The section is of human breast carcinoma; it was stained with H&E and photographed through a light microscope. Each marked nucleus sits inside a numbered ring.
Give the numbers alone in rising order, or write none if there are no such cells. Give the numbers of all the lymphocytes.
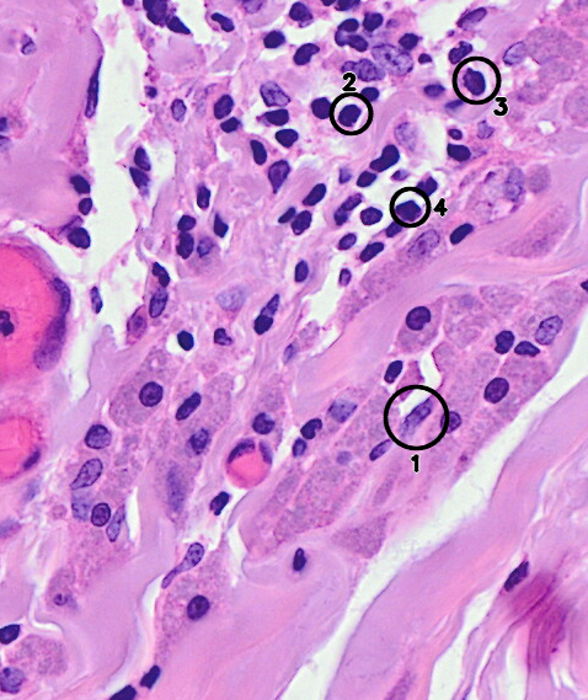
2, 3, 4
